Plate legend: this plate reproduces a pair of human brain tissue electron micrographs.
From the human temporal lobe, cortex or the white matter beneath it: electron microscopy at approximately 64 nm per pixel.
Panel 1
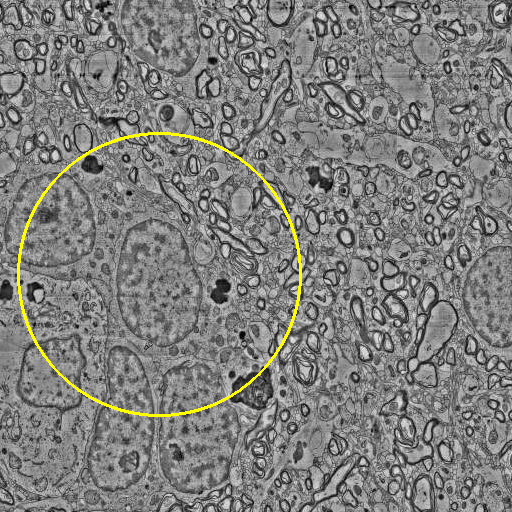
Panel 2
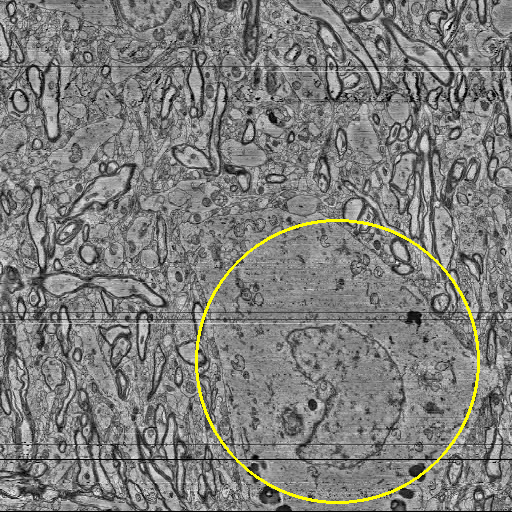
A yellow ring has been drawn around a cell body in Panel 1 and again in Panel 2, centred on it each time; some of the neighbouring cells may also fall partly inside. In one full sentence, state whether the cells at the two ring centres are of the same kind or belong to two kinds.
The ring-centred cells of Panel 1 and Panel 2 belong to two kinds.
